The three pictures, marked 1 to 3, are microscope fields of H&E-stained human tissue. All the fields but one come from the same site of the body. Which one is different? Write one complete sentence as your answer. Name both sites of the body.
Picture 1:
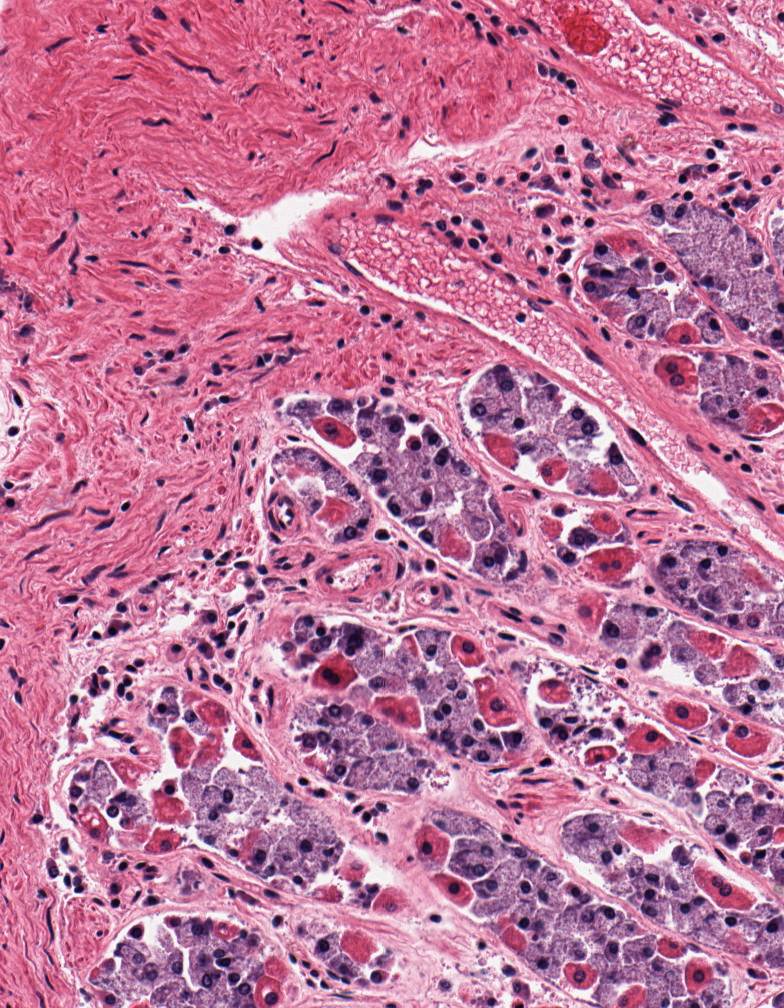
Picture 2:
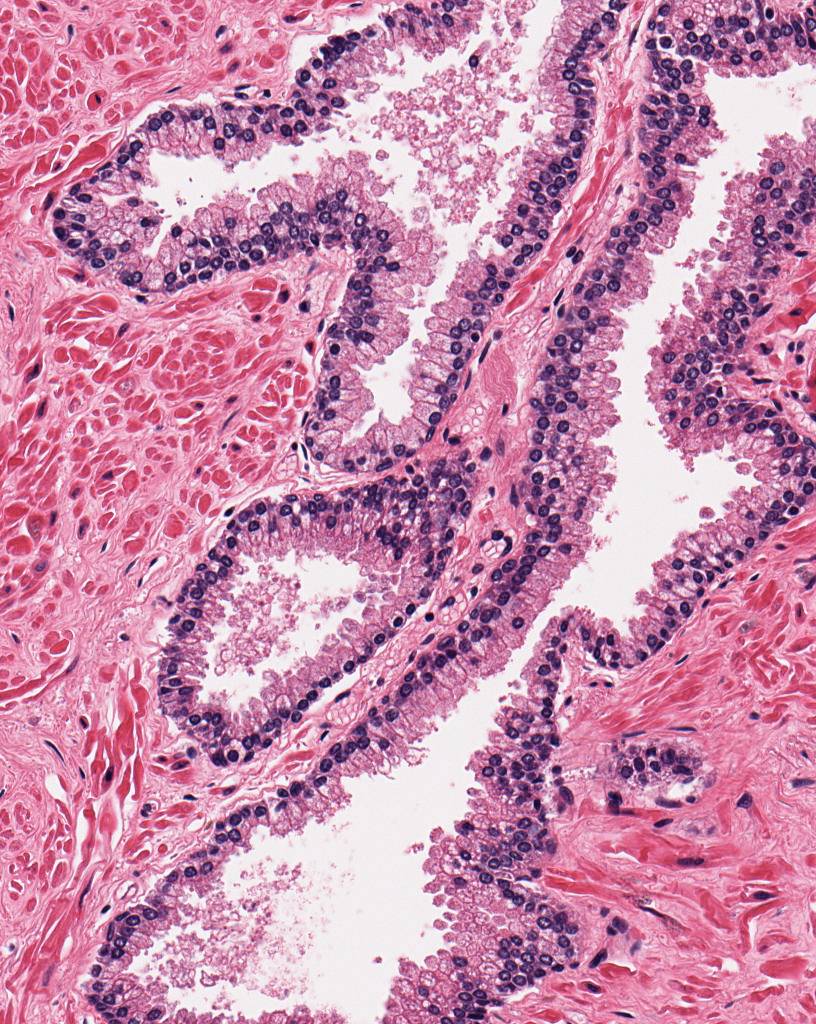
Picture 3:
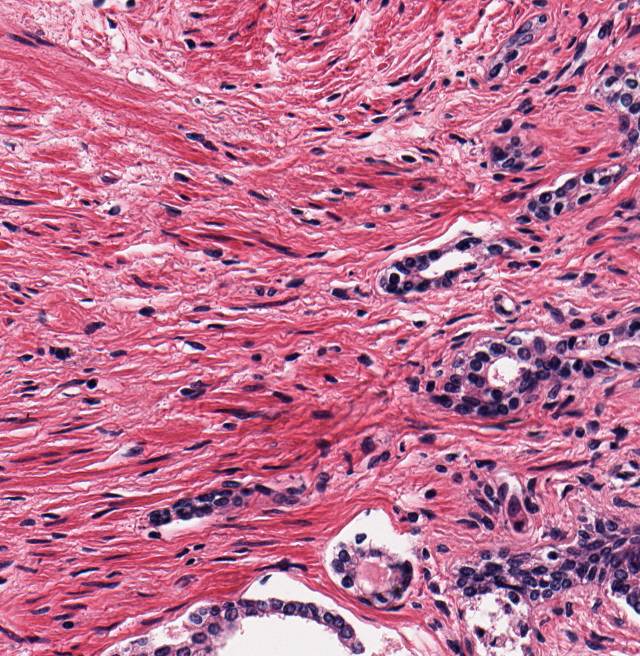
All pictures except 1 come from the prostate; picture 1 comes from the stomach.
